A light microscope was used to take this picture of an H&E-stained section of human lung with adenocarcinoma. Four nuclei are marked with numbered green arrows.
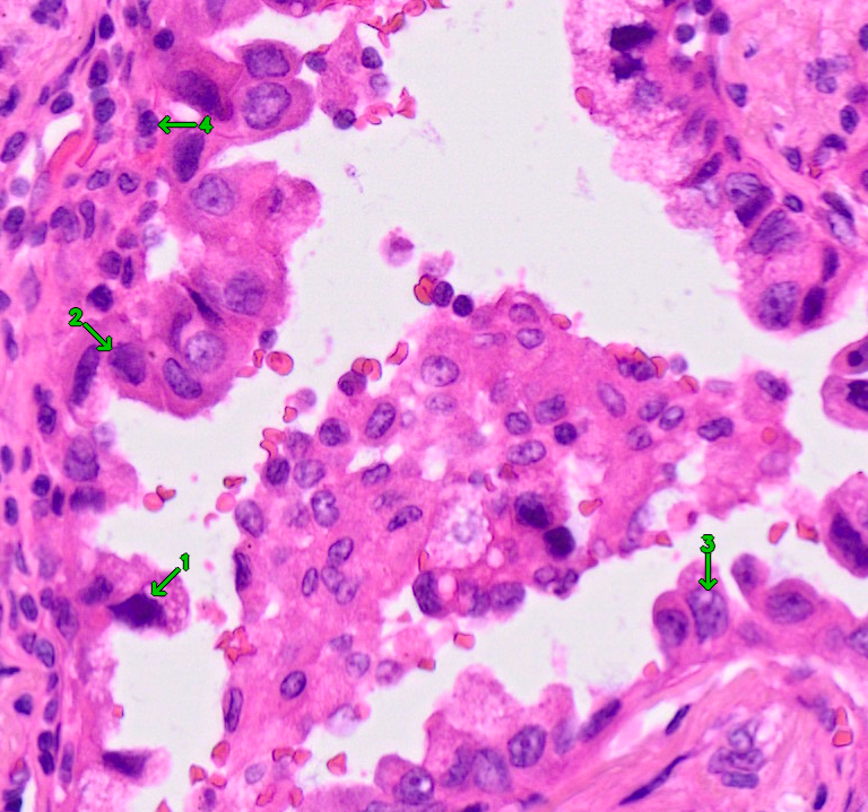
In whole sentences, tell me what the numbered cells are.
Cell 1 is a carcinoma cell, cell 2 is a carcinoma cell, cell 3 is a carcinoma cell and cell 4 is a lymphocyte.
